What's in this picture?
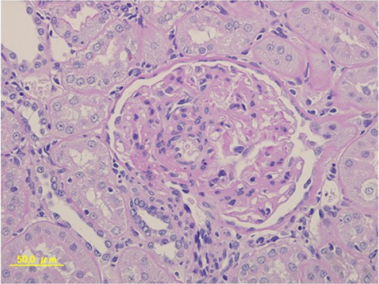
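This is kidney cortex centred on a glomerulus, which here looks large and fills much of the field. The capillary tuft contains many purple nuclei, and between the loops there is plenty of magenta-staining material, giving the tuft a pinker, more matrix-rich look. A clear crescent of space separates the tuft from the surrounding capsule, whose outline is marked by a magenta line. Tubules with cuboidal cells, round nuclei and pink cytoplasm surround the glomerulus, and the interstitium below it holds a cluster of small dark nuclei.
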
